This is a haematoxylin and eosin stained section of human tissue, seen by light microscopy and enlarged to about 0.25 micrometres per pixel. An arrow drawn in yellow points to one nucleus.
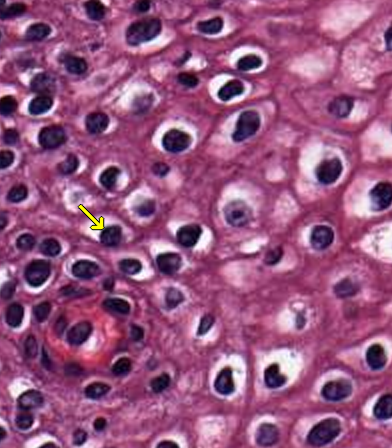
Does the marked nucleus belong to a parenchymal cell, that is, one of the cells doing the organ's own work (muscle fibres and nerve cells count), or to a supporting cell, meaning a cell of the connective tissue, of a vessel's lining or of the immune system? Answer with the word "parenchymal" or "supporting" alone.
parenchymal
